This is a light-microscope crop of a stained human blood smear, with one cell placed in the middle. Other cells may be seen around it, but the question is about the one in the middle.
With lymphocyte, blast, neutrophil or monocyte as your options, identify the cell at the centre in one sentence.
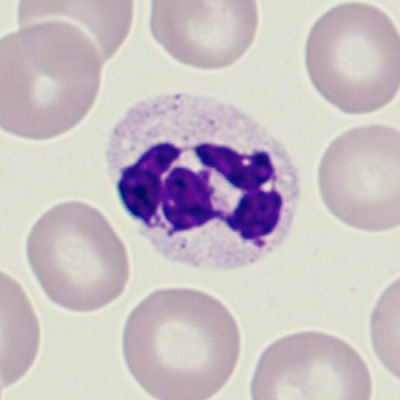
Classified as a neutrophil is the cell in the middle of this crop.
